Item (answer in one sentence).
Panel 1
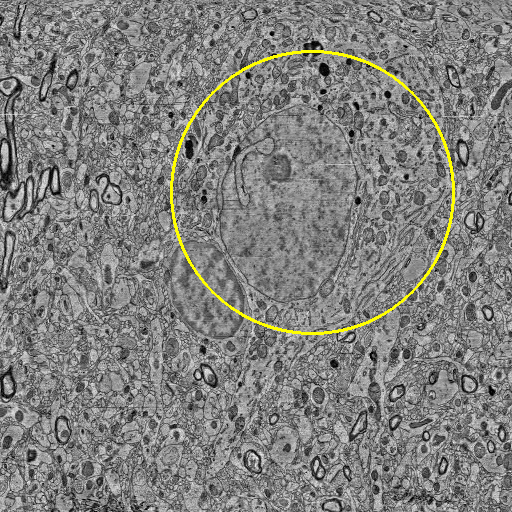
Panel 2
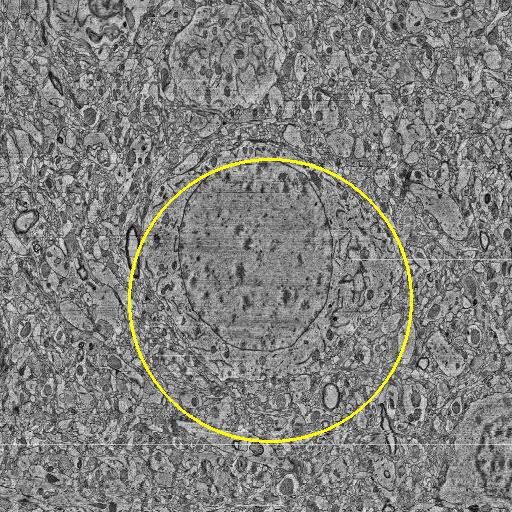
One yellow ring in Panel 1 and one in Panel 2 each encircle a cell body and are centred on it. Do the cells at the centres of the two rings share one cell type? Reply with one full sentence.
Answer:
No, Panel 1 and Panel 2 show cells of two types at the centres of their rings.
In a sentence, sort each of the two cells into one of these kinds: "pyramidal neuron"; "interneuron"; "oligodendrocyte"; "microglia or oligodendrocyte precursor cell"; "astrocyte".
The first of the two cells is an interneuron, and the second is a pyramidal neuron.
